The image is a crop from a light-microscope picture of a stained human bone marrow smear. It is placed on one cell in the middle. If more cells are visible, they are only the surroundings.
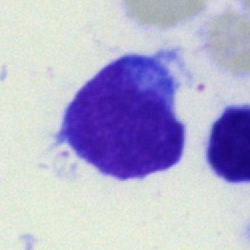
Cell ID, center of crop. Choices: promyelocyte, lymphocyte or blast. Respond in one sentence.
Answering briefly, the cell in the middle is a blast.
